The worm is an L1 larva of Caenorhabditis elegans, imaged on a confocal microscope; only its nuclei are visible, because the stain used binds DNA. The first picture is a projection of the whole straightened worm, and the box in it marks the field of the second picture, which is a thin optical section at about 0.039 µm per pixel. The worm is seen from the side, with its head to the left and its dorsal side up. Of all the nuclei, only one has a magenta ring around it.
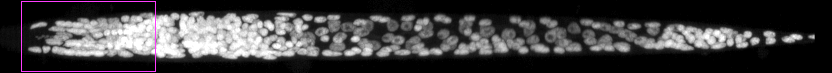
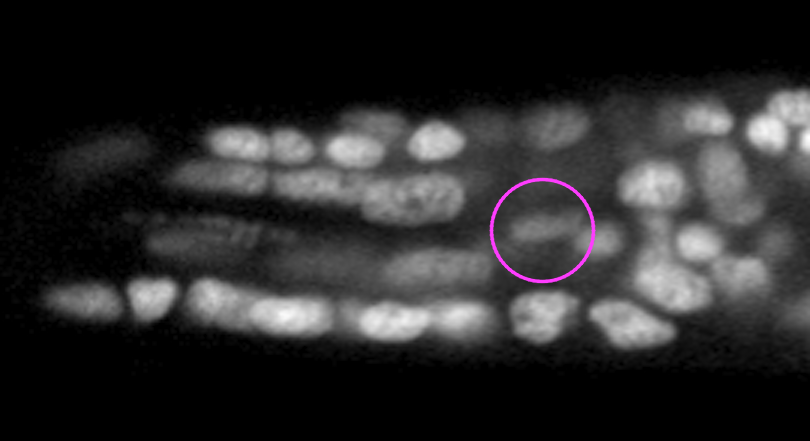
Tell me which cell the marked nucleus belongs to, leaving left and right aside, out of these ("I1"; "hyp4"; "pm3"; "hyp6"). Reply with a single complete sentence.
The marked nucleus is that of pm3, a pharyngeal muscle cell.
